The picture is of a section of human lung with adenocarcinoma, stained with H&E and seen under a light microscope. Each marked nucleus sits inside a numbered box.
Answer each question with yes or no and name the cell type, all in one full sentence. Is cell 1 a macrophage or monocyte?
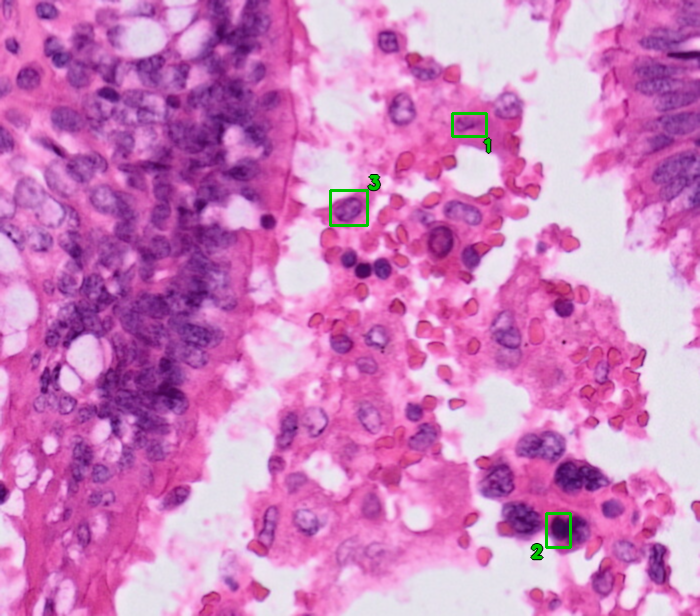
Yes, that is correct: the cell numbered 1 is a macrophage or monocyte.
